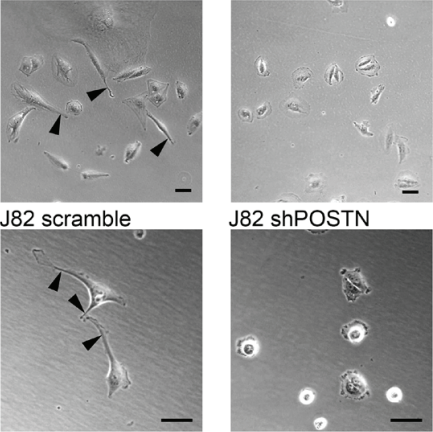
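In the left-hand images many cells are elongated or irregular, drawn out into thin tapering membrane protrusions that reach away from the cell body. In the right-hand images the cells are smaller and more compact, mostly oval or round, with few or no long extensions.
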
